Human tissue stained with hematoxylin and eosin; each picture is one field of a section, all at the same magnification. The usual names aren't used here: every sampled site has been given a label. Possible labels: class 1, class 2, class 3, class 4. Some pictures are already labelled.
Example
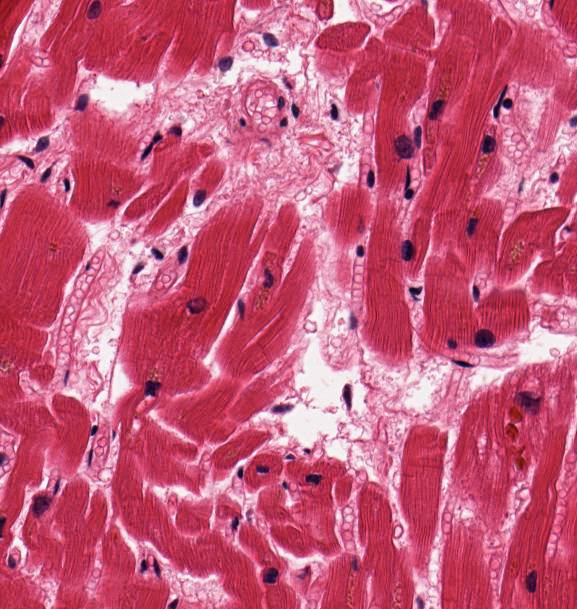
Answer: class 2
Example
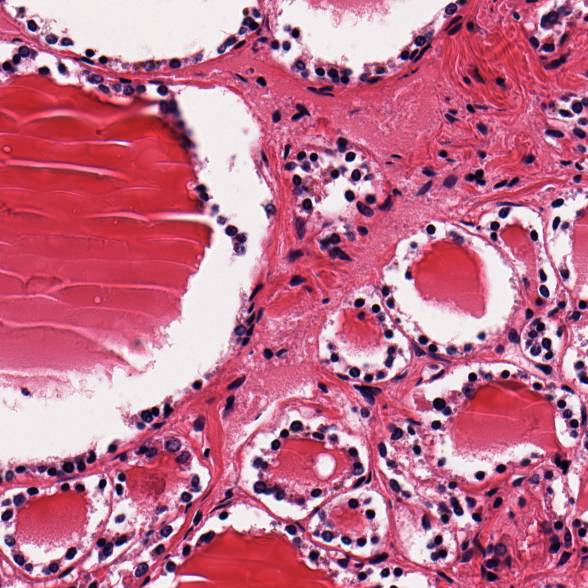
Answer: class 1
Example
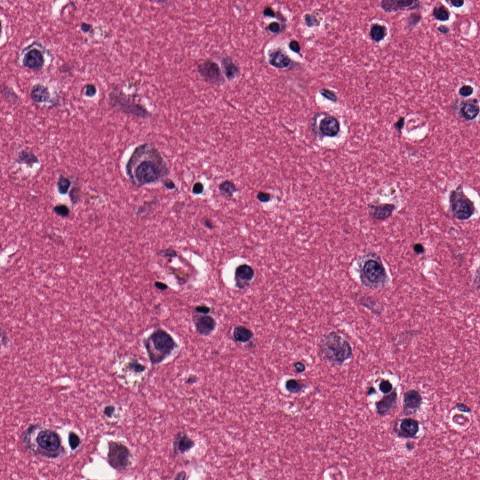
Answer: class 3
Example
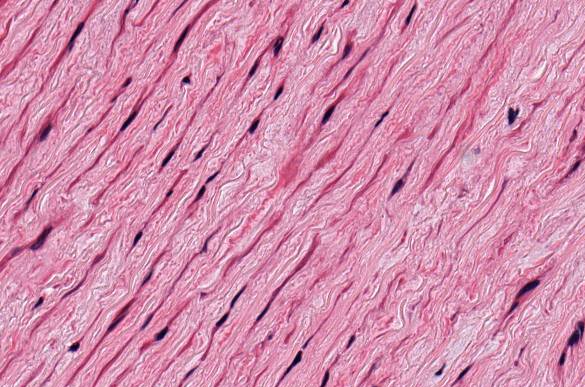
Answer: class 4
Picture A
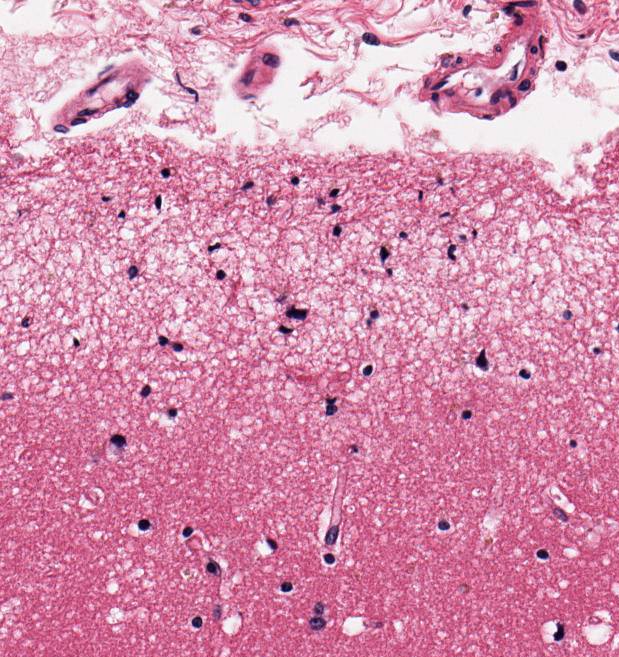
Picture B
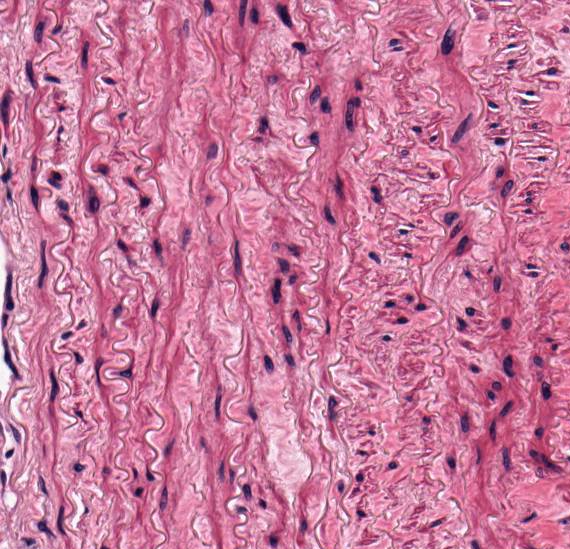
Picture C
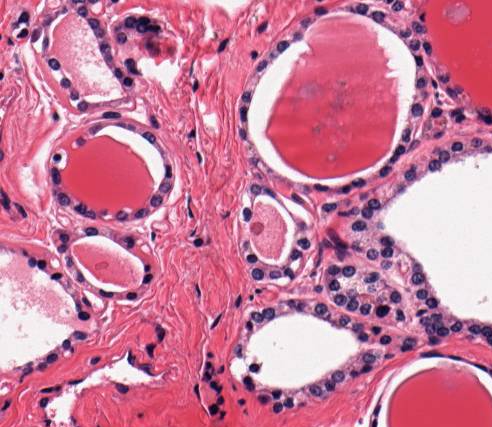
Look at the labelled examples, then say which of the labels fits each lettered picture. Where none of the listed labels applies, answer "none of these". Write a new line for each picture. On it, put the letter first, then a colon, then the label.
A: class 3
B: class 4
C: class 1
